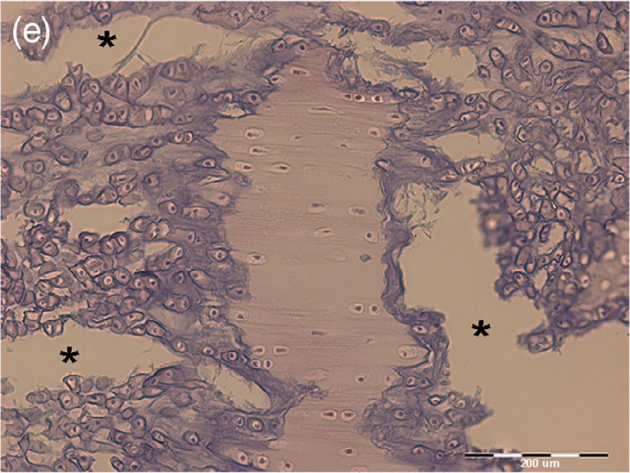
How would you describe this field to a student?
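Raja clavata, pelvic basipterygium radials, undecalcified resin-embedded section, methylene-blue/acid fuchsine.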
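This is cartilage split by fissures: empty clear clefts cut into the tissue on both sides. A central band of smooth, pale matrix carries small, sparse lacunae, while the flanking tissue is crowded with chondrocytes in lacunae whose outlines stain purple.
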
